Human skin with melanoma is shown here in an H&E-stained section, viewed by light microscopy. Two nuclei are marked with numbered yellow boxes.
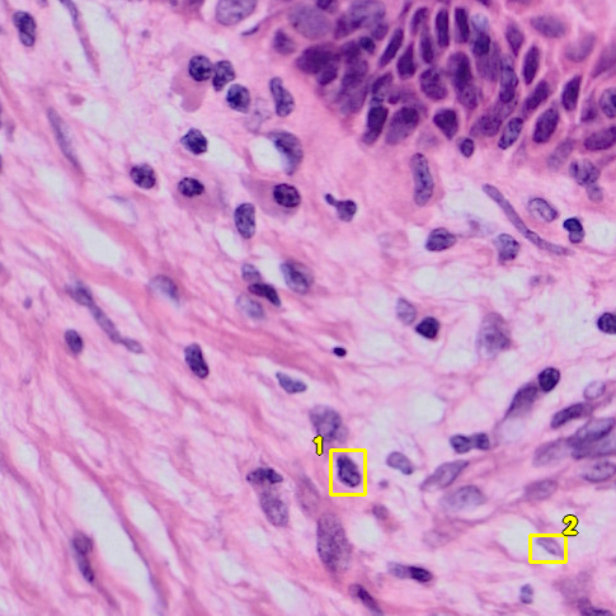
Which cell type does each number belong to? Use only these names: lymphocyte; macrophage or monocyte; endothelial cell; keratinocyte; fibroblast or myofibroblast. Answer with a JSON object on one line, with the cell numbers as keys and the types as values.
{"1": "lymphocyte", "2": "fibroblast or myofibroblast"}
